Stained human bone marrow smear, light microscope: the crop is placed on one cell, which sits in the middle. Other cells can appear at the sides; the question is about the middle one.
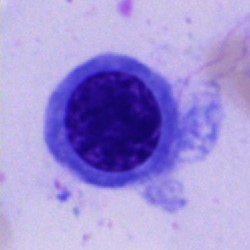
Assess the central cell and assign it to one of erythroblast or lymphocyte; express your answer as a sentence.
At the crop's centre, the cell is an erythroblast.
